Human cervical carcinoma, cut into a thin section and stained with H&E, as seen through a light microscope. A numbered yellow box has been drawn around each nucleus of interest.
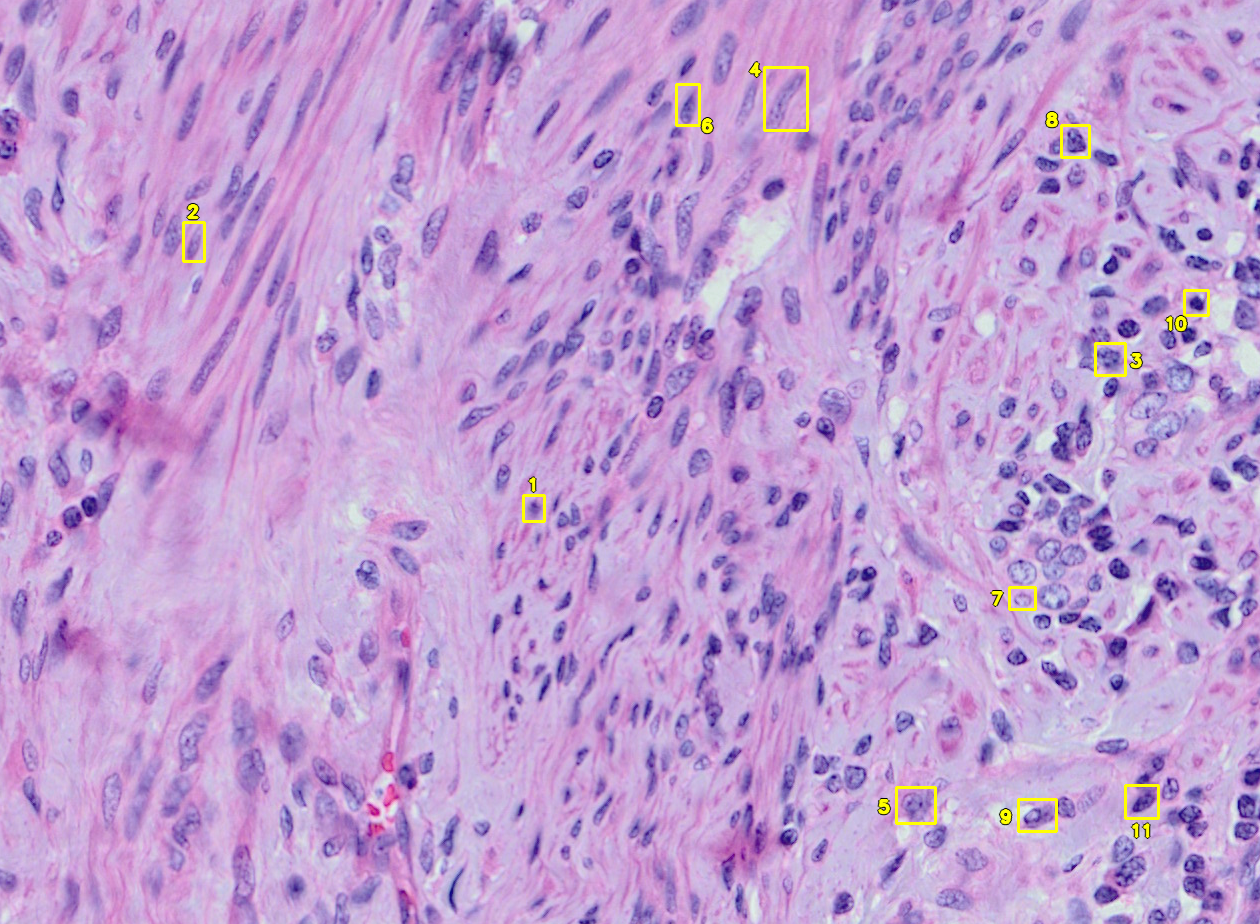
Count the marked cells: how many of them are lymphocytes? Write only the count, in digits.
4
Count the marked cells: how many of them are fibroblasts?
1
